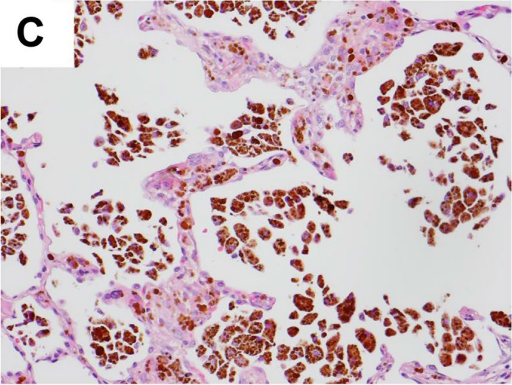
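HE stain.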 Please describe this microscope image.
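Lung tissue with alveolar spaces crowded by numerous macrophages filled with hemosiderin. These rounded cells lie free in the air spaces, singly and in loose clusters, and their cytoplasm is packed with coarse dark golden-brown granular pigment that largely hides the nuclei. The alveolar walls between them are mildly thickened and more cellular than normal, and some brown pigment is also deposited within the interstitium of the walls.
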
